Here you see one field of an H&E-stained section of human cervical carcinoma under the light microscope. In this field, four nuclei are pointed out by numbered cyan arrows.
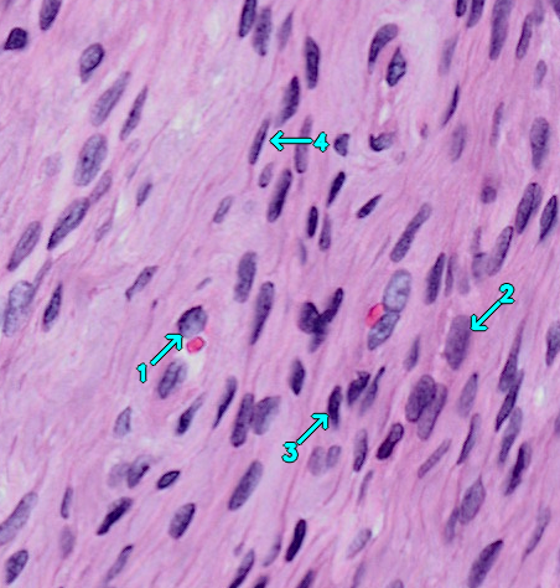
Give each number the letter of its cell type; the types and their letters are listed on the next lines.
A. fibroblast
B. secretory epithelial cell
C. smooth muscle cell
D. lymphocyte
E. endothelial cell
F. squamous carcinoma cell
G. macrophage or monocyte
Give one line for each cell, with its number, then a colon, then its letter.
1: E
2: A
3: A
4: A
